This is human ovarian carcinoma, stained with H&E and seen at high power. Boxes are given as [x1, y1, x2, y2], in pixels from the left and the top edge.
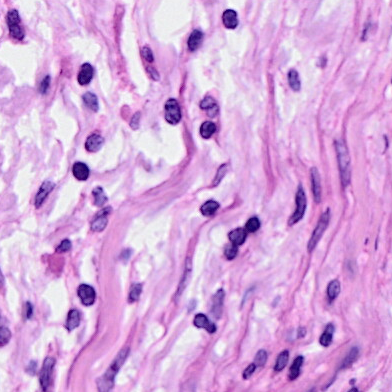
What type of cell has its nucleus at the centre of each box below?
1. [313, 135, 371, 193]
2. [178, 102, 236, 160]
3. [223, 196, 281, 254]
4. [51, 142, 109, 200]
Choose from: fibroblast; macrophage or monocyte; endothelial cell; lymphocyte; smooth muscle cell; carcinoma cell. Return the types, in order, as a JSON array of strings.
["fibroblast", "lymphocyte", "lymphocyte", "lymphocyte"]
